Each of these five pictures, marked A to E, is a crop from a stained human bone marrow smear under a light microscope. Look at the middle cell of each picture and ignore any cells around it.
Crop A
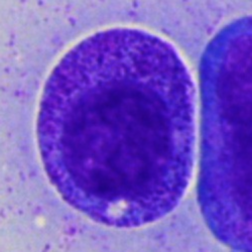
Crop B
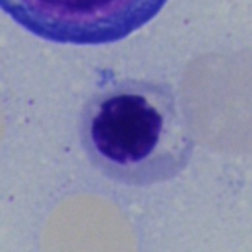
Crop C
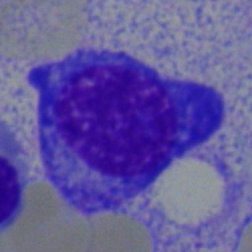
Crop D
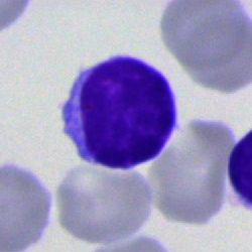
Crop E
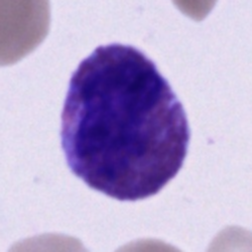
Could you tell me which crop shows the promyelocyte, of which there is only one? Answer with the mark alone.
A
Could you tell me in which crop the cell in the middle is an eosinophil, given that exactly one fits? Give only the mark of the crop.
E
